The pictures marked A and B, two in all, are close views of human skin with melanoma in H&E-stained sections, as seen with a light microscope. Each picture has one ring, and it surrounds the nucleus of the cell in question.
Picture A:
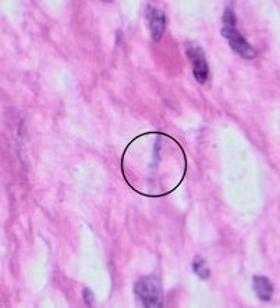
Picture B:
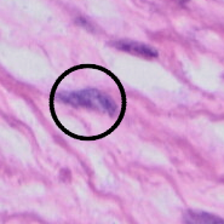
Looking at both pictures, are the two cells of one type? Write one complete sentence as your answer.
Yes, they are the same type: both are “fibroblasts or myofibroblasts”.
